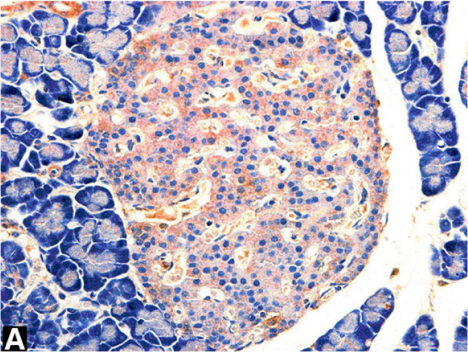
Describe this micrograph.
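Pancreas with a large endocrine islet surrounded by exocrine acini. The islet is a rounded mass of small, closely packed polygonal cells with round central nuclei and pale cytoplasm, traversed by thin capillary channels; its cytoplasm carries a diffuse brown-orange stain. Around it, acinar cells form lobular clusters of pyramidal cells with dark blue basophilic basal cytoplasm, basal nuclei and paler apical granular zones, largely unstained. Thin septa of loose connective tissue with clear spaces separate the lobules from the islet. A few scattered brown-stained cells lie within the interlobular septa.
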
